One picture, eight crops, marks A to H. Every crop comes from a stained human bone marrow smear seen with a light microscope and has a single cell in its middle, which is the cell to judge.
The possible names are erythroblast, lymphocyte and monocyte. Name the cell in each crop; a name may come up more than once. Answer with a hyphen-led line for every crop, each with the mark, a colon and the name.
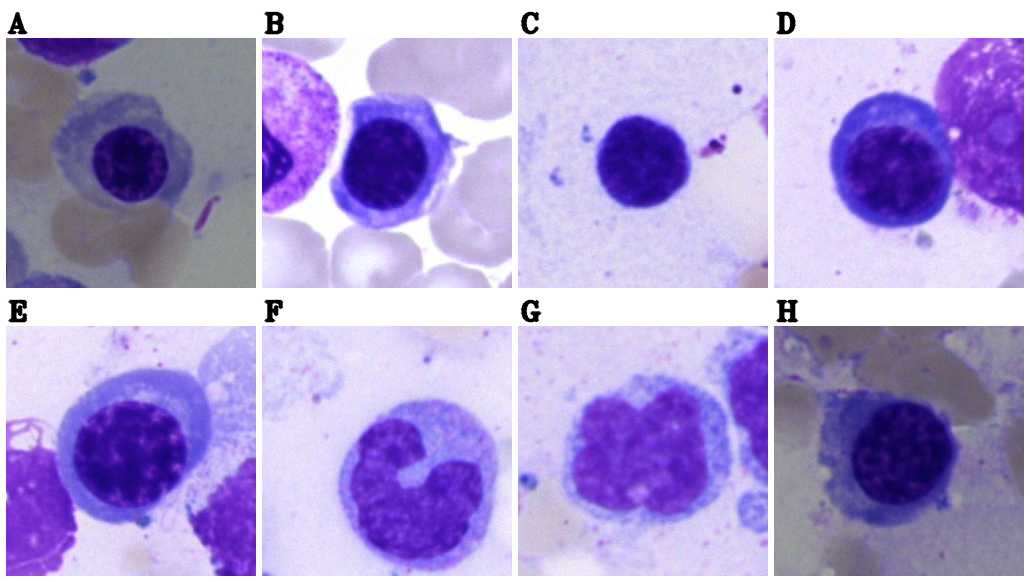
- A: erythroblast
- B: erythroblast
- C: lymphocyte
- D: erythroblast
- E: erythroblast
- F: monocyte
- G: monocyte
- H: erythroblast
